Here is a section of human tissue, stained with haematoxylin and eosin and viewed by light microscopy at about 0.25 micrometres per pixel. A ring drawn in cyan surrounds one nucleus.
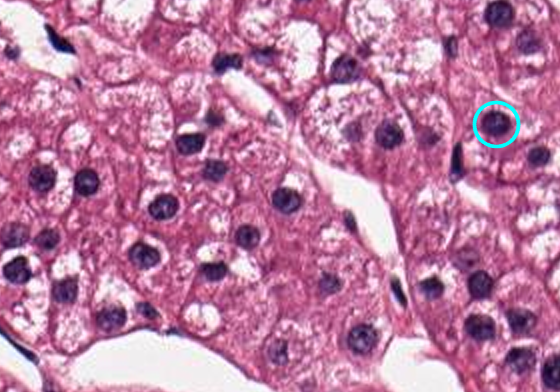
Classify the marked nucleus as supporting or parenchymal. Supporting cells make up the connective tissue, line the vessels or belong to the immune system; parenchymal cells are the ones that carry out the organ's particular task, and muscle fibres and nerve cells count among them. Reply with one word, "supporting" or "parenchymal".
parenchymal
